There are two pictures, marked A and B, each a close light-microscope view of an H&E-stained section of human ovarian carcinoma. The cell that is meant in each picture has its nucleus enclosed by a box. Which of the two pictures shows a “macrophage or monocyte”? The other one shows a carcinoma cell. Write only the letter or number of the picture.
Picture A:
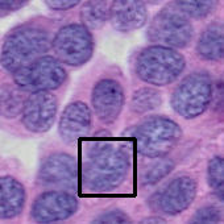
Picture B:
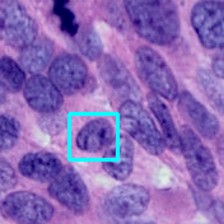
B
